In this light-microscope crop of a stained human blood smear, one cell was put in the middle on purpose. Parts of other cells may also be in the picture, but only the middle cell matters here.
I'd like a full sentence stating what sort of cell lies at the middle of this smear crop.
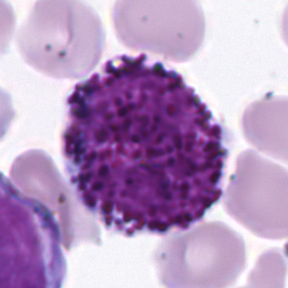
The middle of this crop is occupied by a basophil.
